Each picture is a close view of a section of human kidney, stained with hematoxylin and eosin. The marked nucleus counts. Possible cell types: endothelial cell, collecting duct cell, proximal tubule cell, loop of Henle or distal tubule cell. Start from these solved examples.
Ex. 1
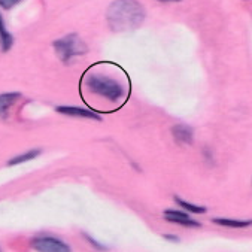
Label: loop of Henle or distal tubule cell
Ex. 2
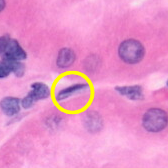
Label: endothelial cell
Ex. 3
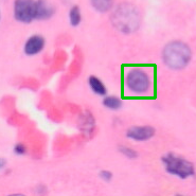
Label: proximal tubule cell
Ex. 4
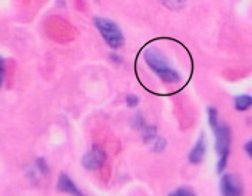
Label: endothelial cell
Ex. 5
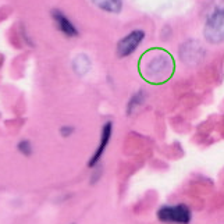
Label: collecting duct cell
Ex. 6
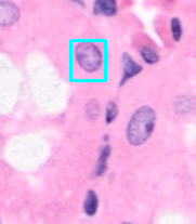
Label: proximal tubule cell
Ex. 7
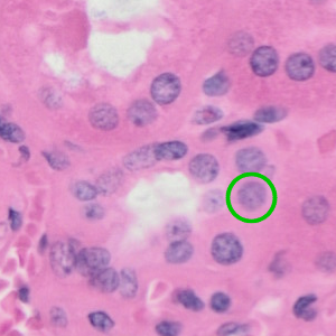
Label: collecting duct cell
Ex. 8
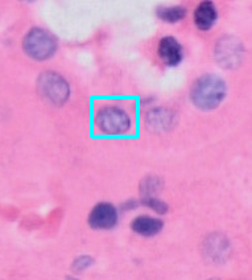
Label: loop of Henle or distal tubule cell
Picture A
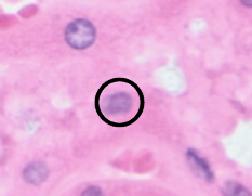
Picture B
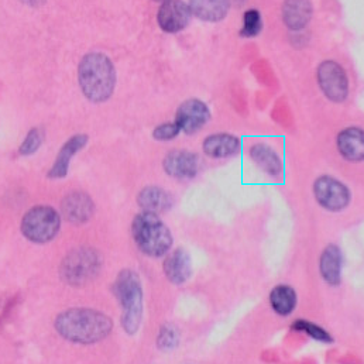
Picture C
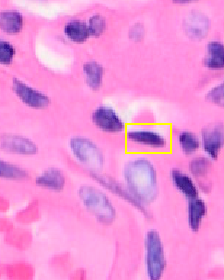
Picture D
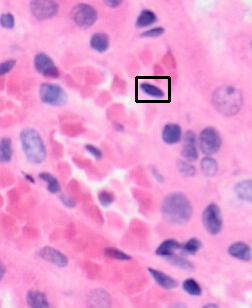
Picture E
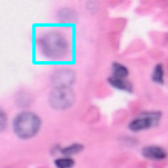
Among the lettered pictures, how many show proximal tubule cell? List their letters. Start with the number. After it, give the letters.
1: A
